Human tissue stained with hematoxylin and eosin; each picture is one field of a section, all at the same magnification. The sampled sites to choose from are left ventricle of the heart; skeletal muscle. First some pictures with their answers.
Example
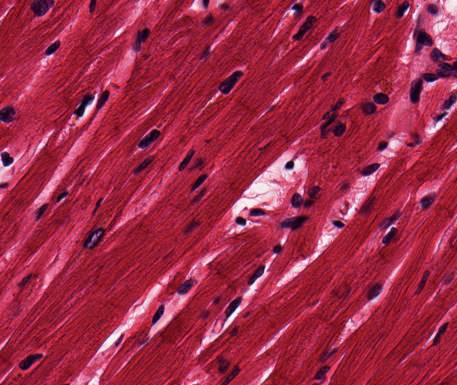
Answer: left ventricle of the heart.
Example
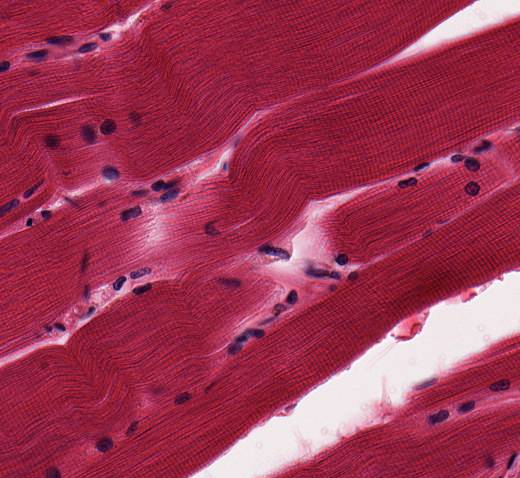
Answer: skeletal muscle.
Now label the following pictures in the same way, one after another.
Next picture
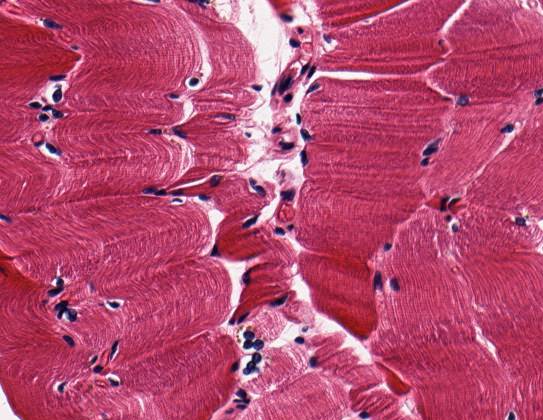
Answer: skeletal muscle.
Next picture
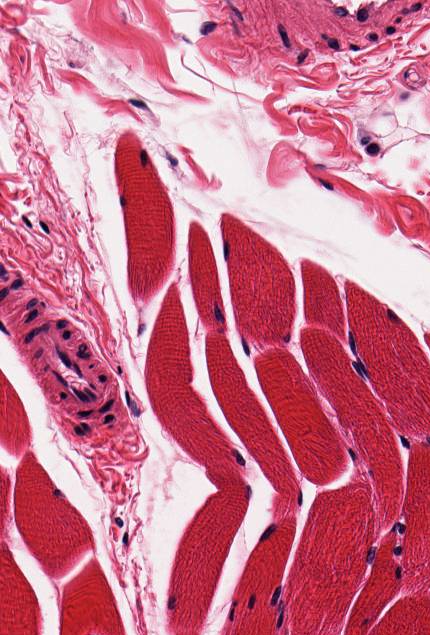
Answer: skeletal muscle.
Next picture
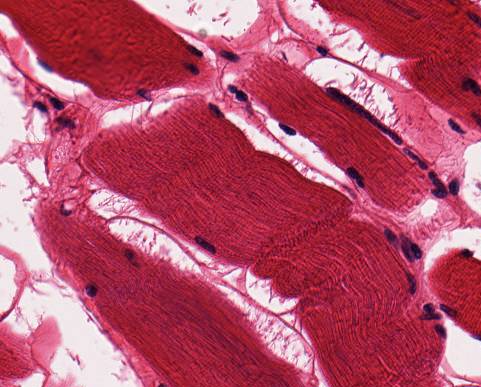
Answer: skeletal muscle.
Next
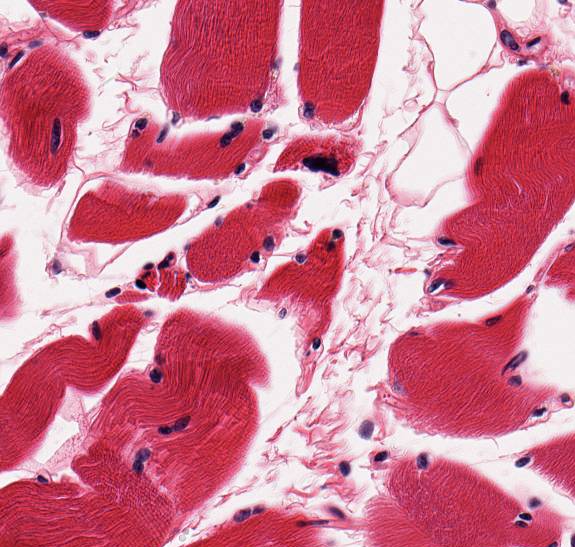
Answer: skeletal muscle.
